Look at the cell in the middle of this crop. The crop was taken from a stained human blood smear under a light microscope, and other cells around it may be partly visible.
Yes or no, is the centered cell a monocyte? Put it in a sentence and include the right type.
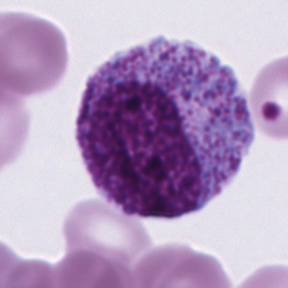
No, it is a promyelocyte that sits in the middle, not a monocyte.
